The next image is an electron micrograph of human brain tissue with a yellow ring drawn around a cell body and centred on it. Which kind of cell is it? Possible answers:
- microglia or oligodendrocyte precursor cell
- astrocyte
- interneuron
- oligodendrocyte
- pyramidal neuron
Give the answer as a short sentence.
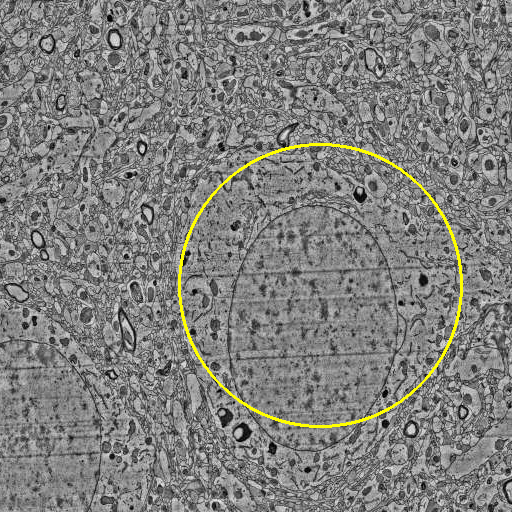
In the ring's centre is a pyramidal neuron.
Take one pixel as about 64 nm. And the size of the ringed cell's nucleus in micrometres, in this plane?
The nucleus of the ringed cell is approximately 16 by 11 micrometres in this plane.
